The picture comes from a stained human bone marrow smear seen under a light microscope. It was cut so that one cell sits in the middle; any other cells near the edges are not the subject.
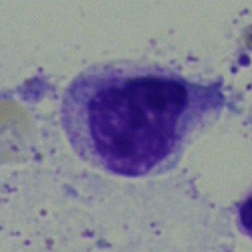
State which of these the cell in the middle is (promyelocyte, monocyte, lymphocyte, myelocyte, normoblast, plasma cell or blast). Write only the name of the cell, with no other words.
myelocyte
